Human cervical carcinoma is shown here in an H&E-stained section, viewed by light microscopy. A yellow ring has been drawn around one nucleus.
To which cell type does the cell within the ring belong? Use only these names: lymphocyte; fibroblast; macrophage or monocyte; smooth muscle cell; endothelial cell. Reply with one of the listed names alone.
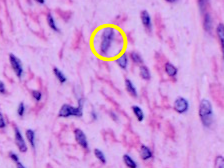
smooth muscle cell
